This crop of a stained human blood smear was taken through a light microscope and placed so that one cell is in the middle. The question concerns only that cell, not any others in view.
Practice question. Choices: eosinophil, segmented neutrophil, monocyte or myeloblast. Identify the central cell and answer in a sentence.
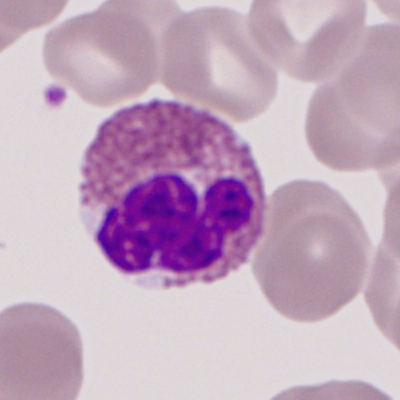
Centrally within this crop lies an eosinophil.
